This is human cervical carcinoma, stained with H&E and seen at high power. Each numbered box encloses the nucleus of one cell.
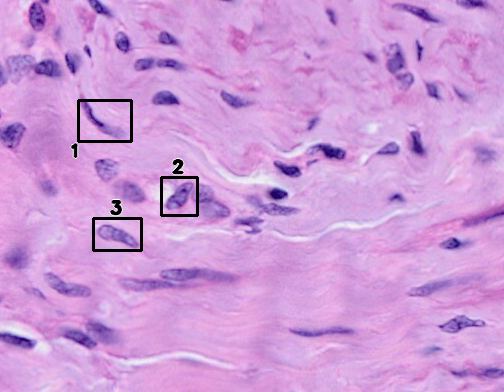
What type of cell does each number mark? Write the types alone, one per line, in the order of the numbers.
fibroblast
endothelial cell
fibroblast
